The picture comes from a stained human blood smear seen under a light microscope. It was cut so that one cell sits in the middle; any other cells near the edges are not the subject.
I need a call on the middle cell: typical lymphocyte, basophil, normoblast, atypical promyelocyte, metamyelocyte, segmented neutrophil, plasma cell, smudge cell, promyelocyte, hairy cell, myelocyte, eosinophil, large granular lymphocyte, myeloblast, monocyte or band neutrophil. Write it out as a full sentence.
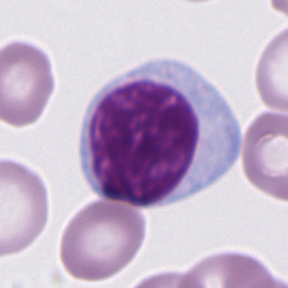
This crop has a typical lymphocyte at its centre.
